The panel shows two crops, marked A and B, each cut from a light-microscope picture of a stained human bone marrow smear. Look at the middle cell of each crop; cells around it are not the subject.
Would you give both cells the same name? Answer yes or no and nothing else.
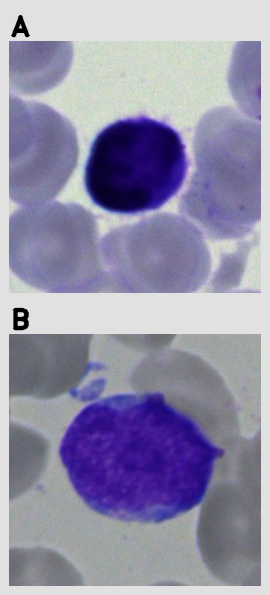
no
